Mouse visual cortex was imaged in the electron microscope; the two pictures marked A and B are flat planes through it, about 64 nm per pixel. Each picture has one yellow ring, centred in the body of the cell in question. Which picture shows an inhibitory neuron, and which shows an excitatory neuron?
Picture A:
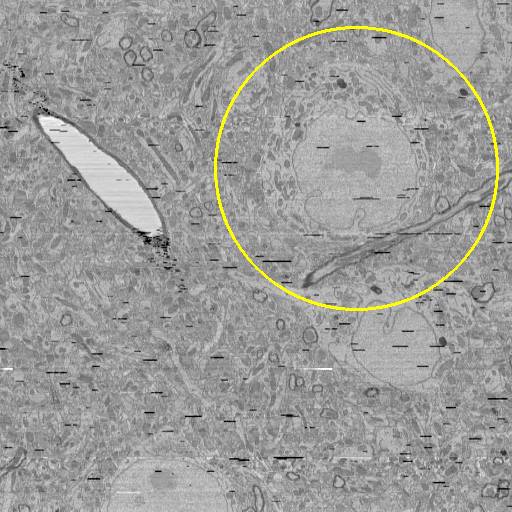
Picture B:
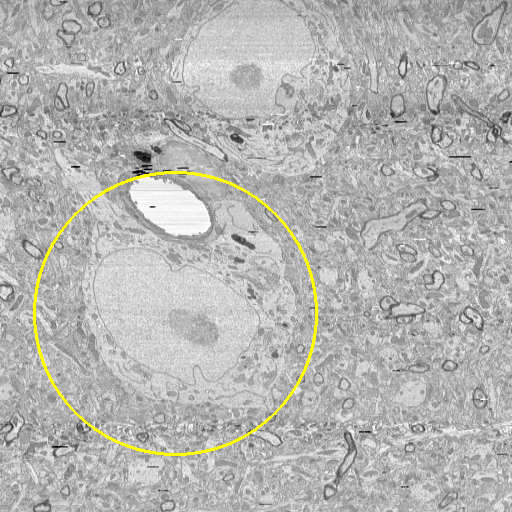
In picture A the cell is an inhibitory neuron; in picture B, an excitatory neuron.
